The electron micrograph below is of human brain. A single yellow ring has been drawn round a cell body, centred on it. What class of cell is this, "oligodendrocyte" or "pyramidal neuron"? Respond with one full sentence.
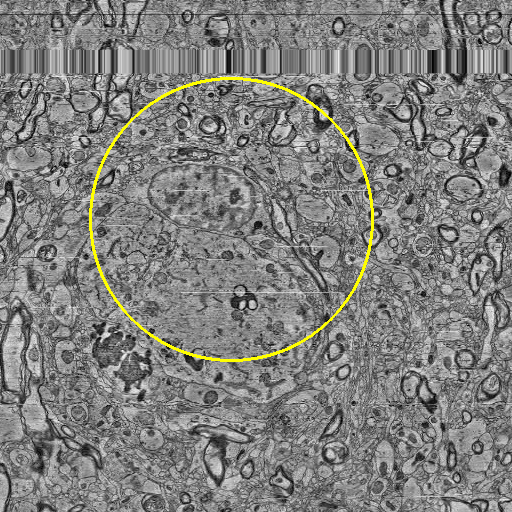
In the micrograph, the cell centred inside the yellow ring is an oligodendrocyte.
